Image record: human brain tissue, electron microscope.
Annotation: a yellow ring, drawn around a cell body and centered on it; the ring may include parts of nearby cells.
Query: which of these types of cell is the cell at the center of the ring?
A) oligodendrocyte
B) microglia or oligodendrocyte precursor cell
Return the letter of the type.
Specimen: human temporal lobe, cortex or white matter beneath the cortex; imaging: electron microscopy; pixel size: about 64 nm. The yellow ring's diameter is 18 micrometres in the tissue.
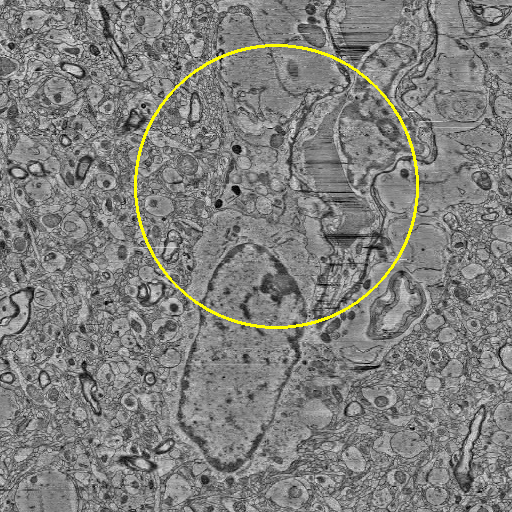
B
